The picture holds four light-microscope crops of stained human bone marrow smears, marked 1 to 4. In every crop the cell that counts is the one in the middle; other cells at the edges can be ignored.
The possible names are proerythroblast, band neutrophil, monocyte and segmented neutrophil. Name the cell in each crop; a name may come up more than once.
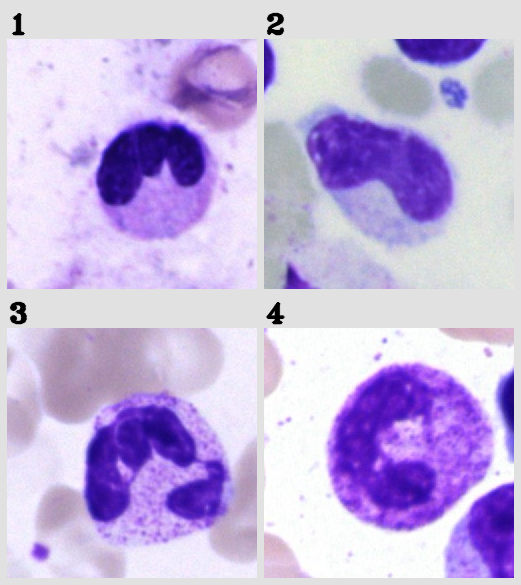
1: segmented neutrophil
2: band neutrophil
3: segmented neutrophil
4: band neutrophil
